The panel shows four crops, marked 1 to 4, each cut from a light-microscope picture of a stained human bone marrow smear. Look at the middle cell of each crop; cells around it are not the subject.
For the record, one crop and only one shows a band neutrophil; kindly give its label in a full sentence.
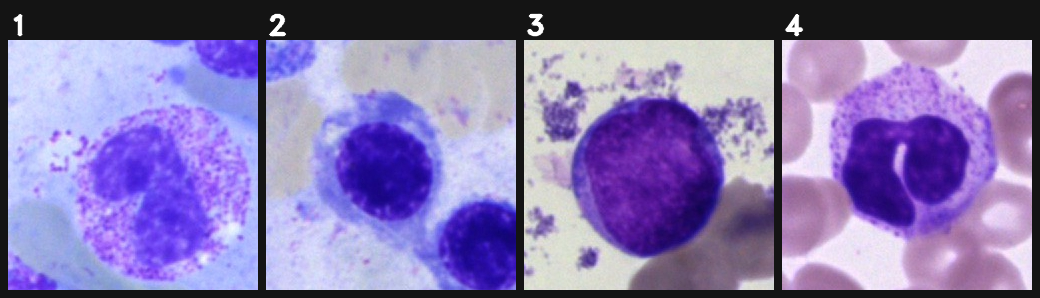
Crop 1 is the right one; it is the crop showing a band neutrophil.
